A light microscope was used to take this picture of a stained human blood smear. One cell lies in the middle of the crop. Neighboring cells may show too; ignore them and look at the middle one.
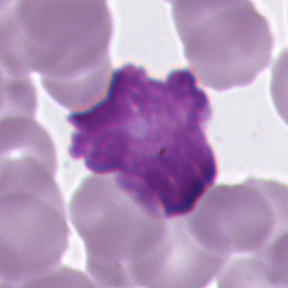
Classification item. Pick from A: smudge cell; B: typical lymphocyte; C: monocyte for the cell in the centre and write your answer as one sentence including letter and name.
What option A states is correct, the central cell being a smudge cell.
